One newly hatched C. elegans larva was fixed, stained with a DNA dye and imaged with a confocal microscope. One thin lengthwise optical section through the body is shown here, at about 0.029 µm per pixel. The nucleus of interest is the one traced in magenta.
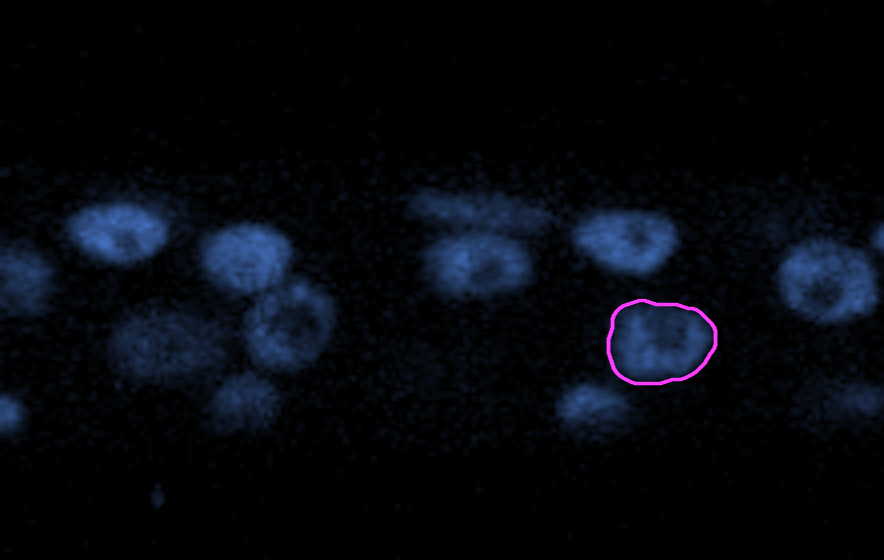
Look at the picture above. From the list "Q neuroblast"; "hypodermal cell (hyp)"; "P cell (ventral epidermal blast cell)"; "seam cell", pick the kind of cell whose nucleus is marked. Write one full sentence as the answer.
It belongs to a hypodermal cell (hyp).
